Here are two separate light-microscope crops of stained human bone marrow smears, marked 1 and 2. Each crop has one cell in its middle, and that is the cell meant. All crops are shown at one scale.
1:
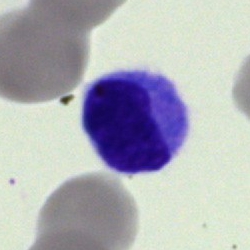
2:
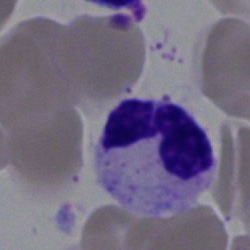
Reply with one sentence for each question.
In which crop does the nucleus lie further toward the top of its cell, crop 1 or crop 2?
The nucleus in crop 2 lies further toward the top of its cell.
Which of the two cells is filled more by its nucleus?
The nucleus fills more of the cell in crop 1 than in crop 2.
